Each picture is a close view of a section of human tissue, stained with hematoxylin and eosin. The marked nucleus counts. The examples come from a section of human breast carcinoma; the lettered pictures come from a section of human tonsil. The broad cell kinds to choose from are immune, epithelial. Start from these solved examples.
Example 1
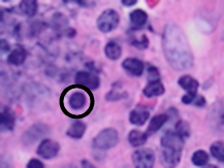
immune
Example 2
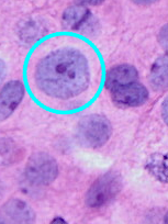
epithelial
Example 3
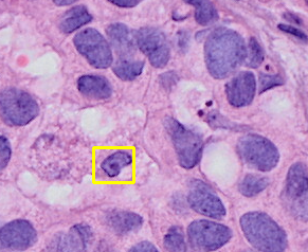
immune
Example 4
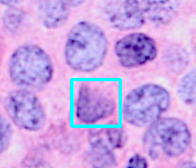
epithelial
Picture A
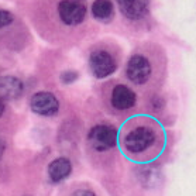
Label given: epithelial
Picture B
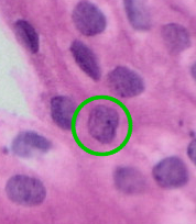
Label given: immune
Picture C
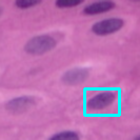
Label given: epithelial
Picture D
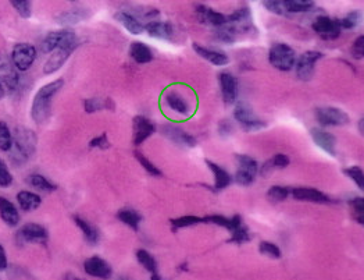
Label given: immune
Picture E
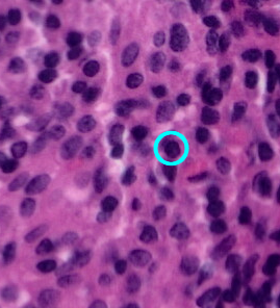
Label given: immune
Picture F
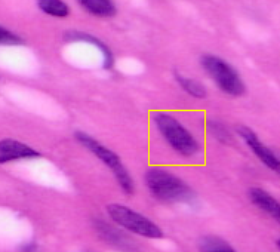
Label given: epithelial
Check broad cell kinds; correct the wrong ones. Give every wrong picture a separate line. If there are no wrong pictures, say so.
A: immune, not epithelial
B: epithelial, not immune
